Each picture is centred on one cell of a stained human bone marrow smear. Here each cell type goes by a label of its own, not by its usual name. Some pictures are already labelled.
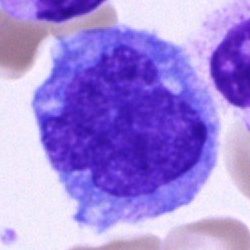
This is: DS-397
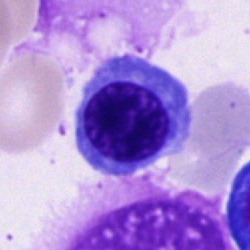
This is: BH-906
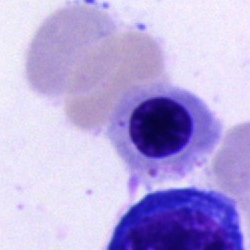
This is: BH-906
